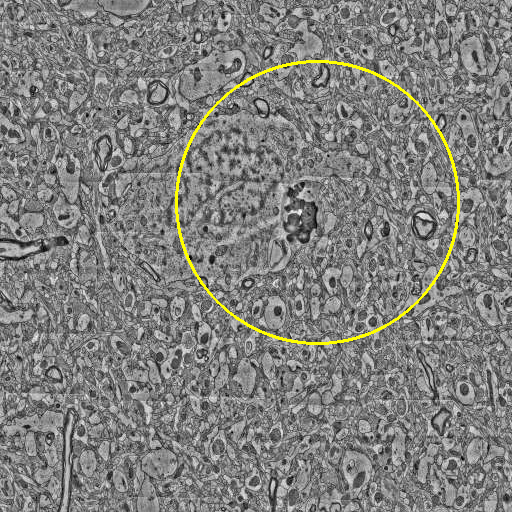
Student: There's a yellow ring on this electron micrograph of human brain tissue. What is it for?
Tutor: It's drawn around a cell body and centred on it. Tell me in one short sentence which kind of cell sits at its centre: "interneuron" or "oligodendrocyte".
The cell at the centre of the ring is an oligodendrocyte.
